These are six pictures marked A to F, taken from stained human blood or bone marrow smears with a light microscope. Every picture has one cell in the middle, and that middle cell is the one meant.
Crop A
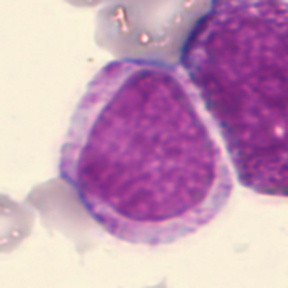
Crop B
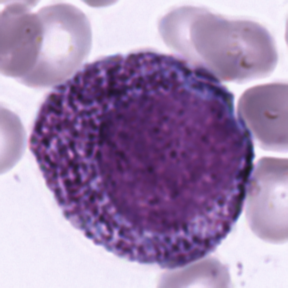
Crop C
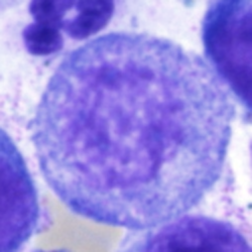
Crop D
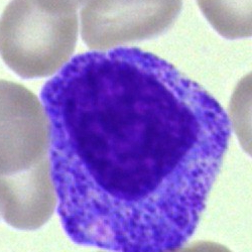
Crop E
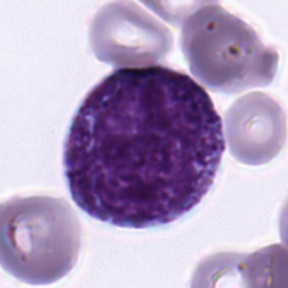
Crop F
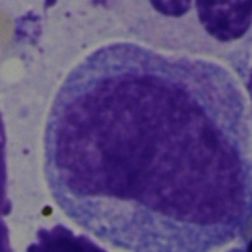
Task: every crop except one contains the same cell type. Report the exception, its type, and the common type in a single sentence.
Shown in crop E is a myelocyte, in contrast to the promyelocytes of all the other crops.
